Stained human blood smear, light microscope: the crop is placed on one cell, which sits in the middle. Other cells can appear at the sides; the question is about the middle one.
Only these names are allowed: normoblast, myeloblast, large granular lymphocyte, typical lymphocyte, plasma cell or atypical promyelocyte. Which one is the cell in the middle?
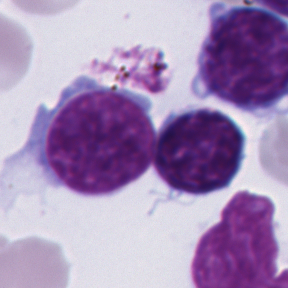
myeloblast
